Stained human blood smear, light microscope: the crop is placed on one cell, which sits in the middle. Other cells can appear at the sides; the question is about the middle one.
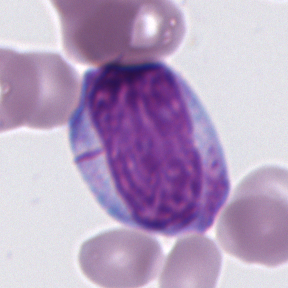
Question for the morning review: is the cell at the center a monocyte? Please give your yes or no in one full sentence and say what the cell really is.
No, the central cell does not represent a monocyte, but an atypical promyelocyte.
